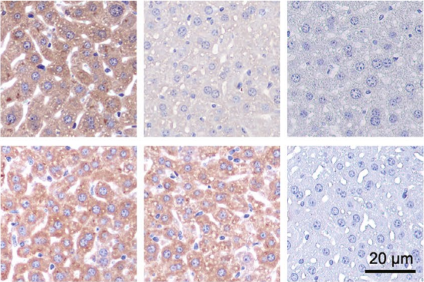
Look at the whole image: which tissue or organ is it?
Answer: Liver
